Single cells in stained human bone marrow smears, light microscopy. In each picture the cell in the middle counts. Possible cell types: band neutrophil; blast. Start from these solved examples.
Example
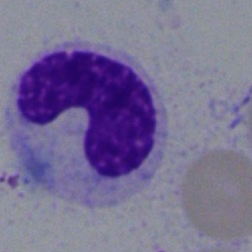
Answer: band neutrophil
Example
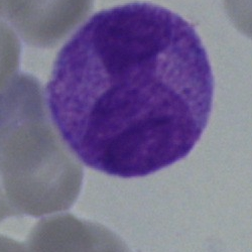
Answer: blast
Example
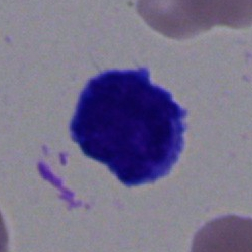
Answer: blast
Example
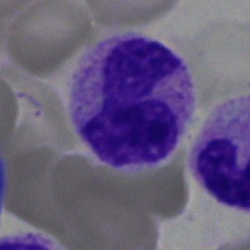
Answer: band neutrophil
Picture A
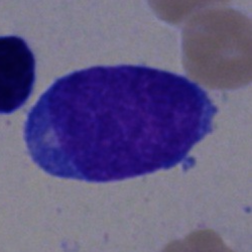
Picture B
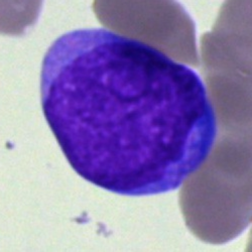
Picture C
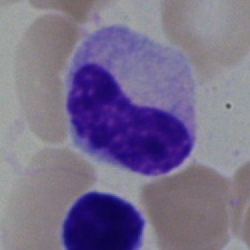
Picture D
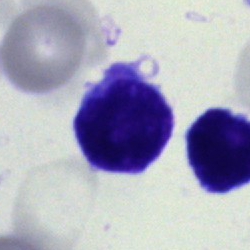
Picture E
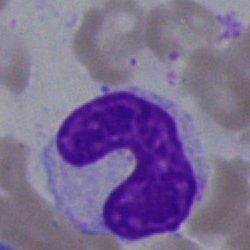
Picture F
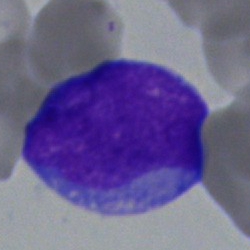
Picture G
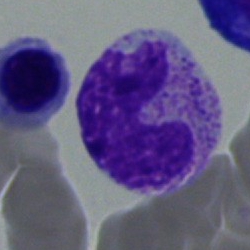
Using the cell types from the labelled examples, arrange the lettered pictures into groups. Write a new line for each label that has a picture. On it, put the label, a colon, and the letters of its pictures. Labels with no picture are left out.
band neutrophil: C, E, G
blast: A, B, D, F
